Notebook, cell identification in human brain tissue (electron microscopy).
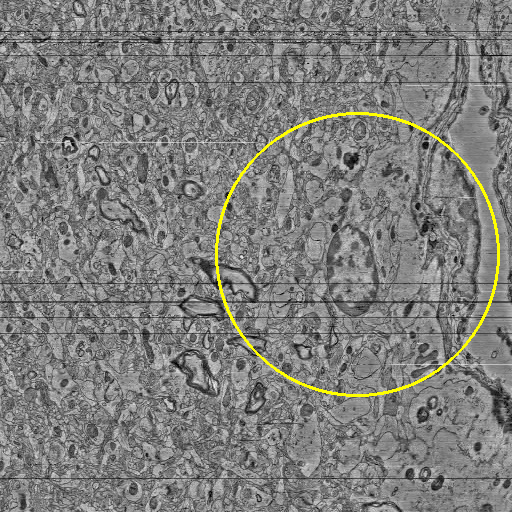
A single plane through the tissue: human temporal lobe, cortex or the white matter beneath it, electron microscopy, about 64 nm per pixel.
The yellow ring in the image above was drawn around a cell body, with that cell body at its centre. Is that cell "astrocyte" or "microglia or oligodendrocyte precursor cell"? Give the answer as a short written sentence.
The cell in the ring is a microglial cell or oligodendrocyte precursor cell.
